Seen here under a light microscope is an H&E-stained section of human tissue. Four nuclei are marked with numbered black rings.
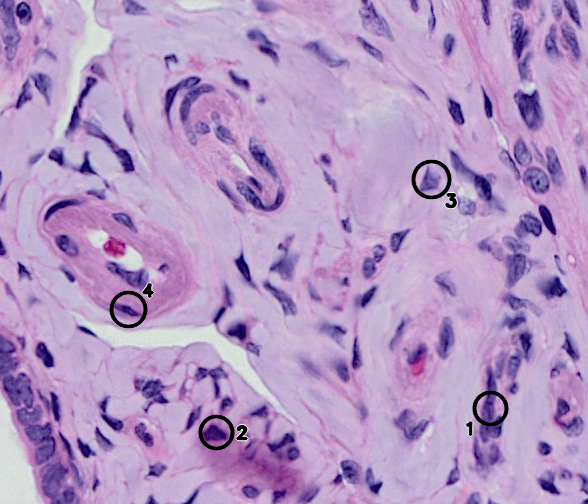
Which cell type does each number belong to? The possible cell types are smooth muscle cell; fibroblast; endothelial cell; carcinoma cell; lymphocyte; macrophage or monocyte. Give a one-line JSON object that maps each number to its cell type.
{"1": "endothelial cell", "2": "smooth muscle cell", "3": "fibroblast", "4": "smooth muscle cell"}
